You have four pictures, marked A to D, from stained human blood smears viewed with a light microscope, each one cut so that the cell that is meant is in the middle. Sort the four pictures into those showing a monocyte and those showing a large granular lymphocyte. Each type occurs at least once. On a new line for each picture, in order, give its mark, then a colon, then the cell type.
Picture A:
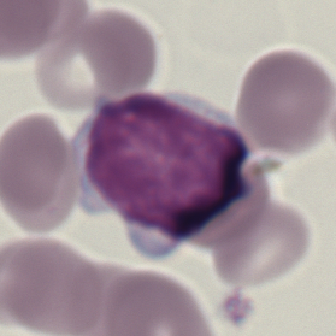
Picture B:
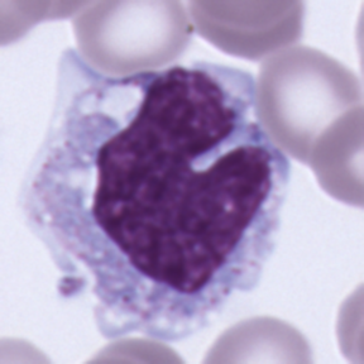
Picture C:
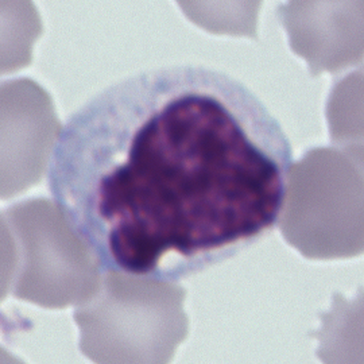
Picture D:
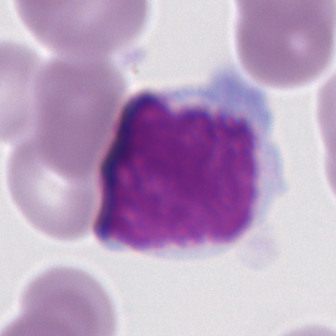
A: large granular lymphocyte
B: monocyte
C: monocyte
D: large granular lymphocyte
